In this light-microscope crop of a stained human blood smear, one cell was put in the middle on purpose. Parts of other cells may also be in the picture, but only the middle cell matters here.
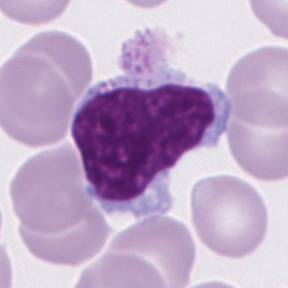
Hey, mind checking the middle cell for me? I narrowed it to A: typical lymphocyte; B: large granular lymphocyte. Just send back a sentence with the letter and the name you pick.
Option B is right in identifying the central cell as a large granular lymphocyte.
